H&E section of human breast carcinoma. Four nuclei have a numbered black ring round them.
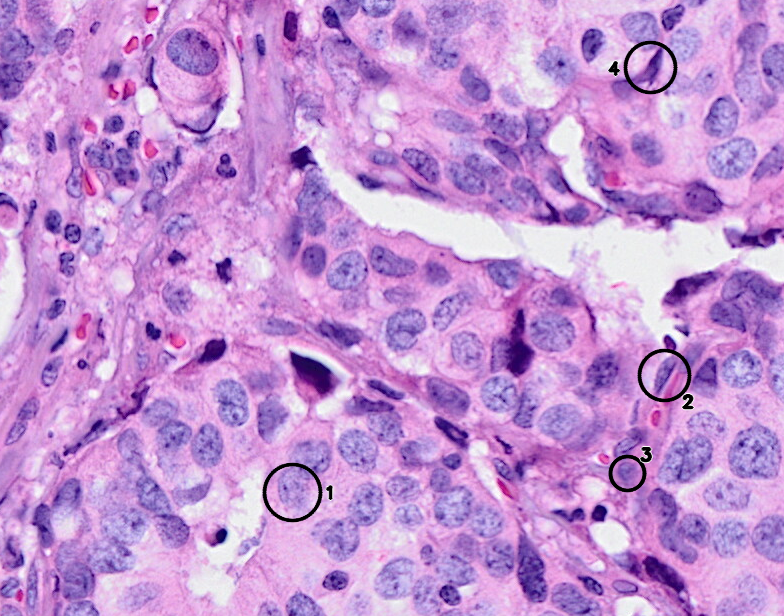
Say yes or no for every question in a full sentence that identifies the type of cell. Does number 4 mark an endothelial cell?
No, the cell indicated by 4 is a carcinoma cell instead of an endothelial cell.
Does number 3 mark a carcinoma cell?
No, cell number 3 is an endothelial cell; it is not a carcinoma cell.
